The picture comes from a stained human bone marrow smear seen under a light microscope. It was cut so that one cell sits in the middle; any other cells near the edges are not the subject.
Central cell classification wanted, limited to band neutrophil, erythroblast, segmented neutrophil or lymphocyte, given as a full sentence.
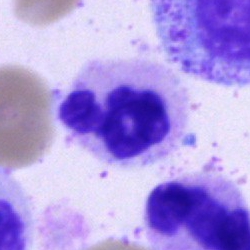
Where the crop is centred, there is a segmented neutrophil.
